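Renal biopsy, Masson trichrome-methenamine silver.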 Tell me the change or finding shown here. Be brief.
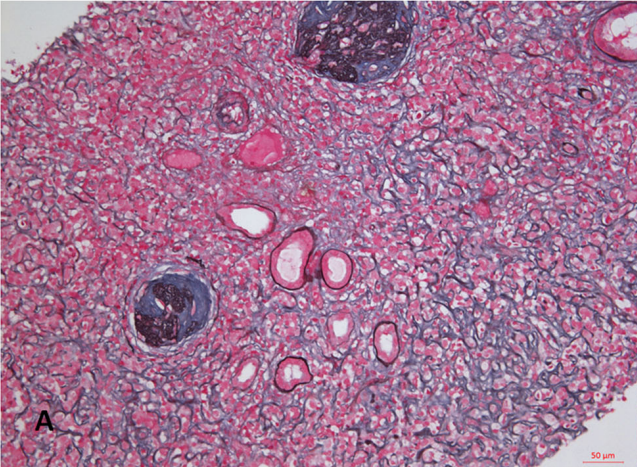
ischemic sclerosis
